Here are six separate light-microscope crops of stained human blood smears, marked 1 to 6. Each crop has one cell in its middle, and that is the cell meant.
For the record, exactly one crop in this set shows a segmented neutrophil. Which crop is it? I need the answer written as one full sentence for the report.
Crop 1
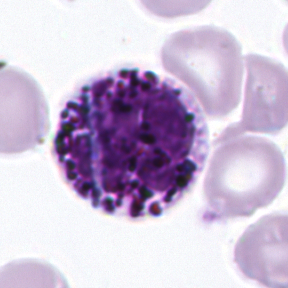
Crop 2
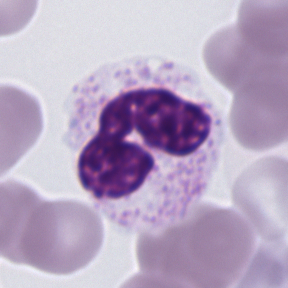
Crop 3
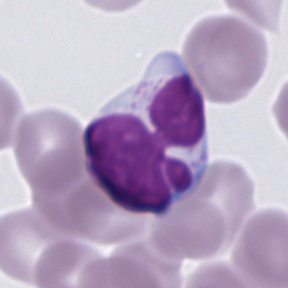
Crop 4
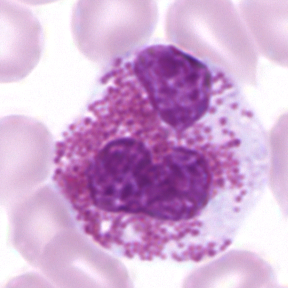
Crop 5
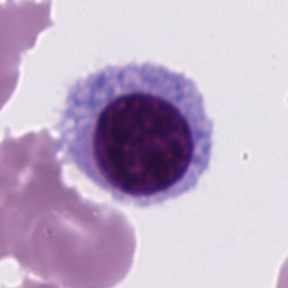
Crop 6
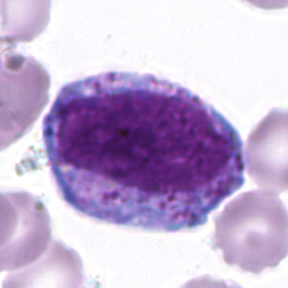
On review of the set, crop 2 is the one showing a segmented neutrophil.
